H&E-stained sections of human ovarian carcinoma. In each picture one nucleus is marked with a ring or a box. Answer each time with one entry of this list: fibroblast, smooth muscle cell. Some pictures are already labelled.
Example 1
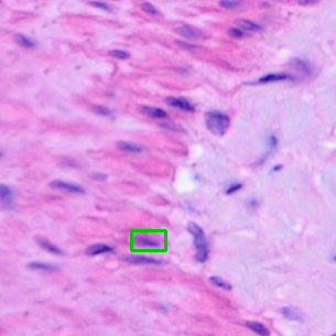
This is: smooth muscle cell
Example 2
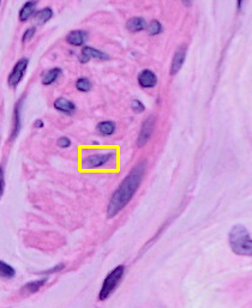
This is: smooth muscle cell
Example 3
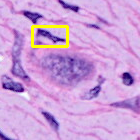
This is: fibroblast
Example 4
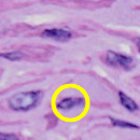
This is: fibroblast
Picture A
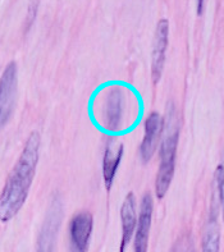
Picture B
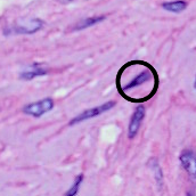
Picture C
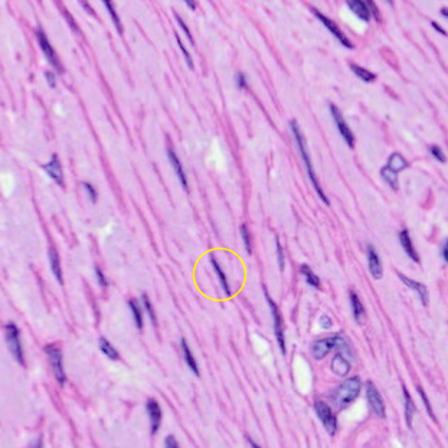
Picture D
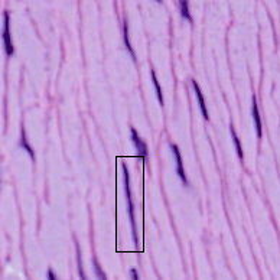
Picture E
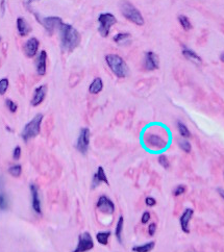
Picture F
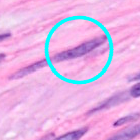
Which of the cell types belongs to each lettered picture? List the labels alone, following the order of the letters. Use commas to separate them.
smooth muscle cell, fibroblast, fibroblast, fibroblast, smooth muscle cell, smooth muscle cell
